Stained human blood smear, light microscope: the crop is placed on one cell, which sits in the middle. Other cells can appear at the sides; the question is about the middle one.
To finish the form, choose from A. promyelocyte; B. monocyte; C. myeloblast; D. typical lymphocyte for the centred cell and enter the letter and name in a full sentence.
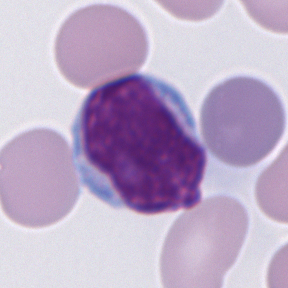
The centrally positioned cell is a typical lymphocyte, consistent with option D, which is correct.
